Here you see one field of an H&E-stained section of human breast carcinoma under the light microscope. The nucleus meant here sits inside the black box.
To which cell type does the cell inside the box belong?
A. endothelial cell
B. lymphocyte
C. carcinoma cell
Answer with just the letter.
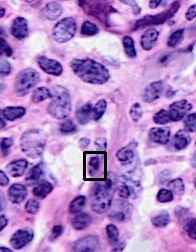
B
